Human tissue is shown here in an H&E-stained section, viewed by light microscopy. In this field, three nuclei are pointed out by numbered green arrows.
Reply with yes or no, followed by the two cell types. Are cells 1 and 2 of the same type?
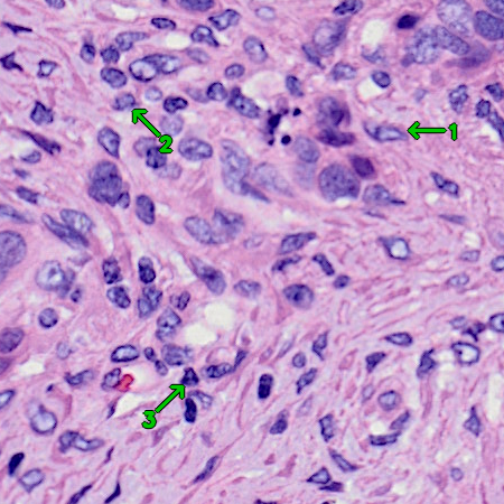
Yes, cell 1 and likewise cell 2 are fibroblasts.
